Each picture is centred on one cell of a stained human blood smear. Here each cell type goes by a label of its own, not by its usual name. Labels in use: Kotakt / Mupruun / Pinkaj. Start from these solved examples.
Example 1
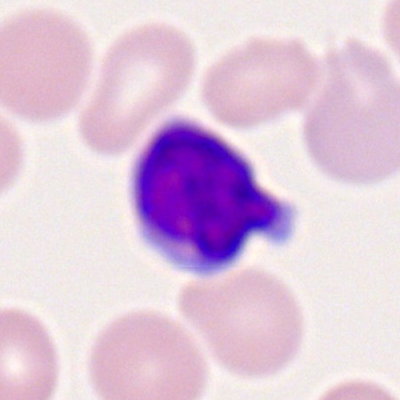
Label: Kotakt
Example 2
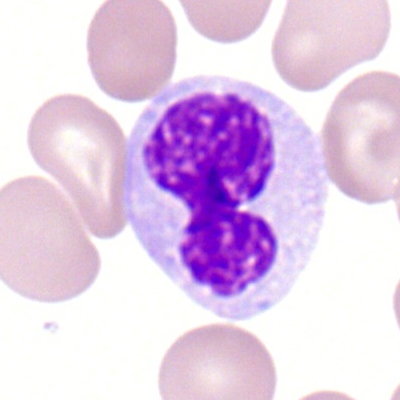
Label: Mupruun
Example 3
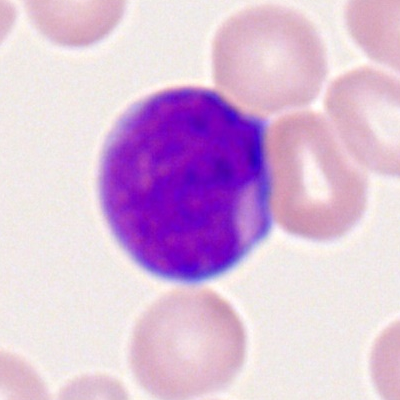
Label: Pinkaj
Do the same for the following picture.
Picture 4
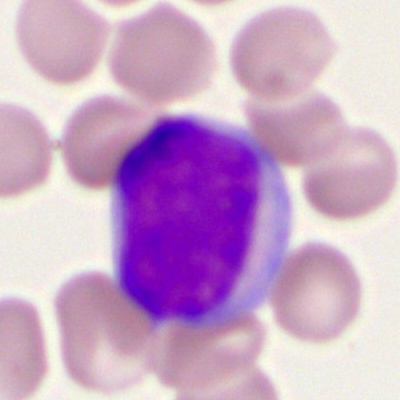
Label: Pinkaj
